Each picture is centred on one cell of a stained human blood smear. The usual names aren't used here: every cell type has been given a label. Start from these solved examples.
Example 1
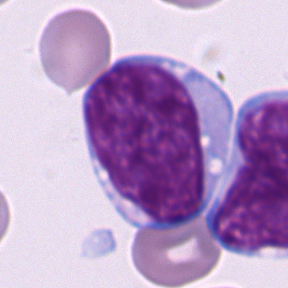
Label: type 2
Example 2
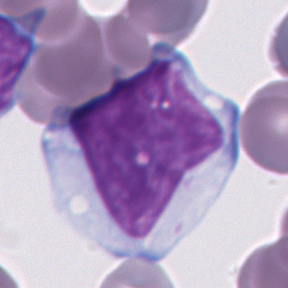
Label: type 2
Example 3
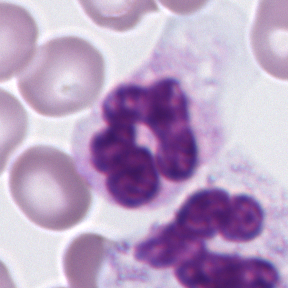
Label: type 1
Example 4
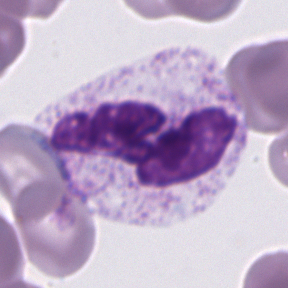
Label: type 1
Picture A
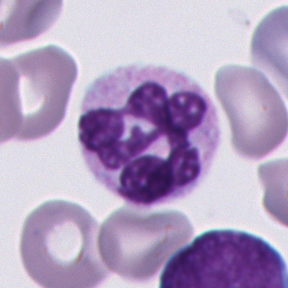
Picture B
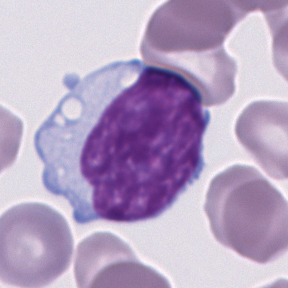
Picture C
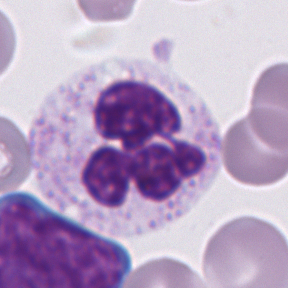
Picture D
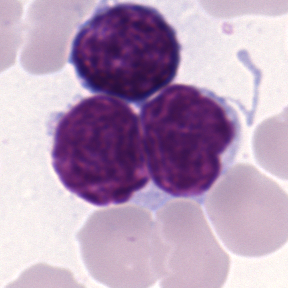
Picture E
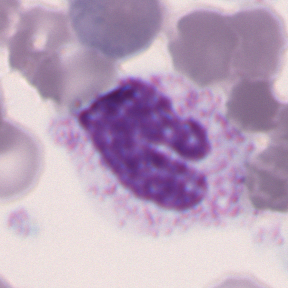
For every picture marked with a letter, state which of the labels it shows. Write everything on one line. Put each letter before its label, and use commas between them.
A type 1, B type 2, C type 1, D type 2, E type 1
